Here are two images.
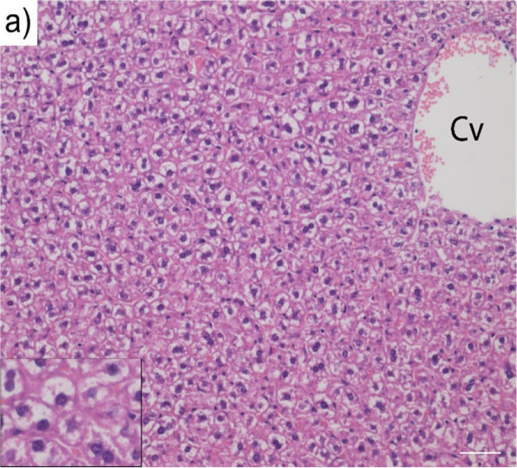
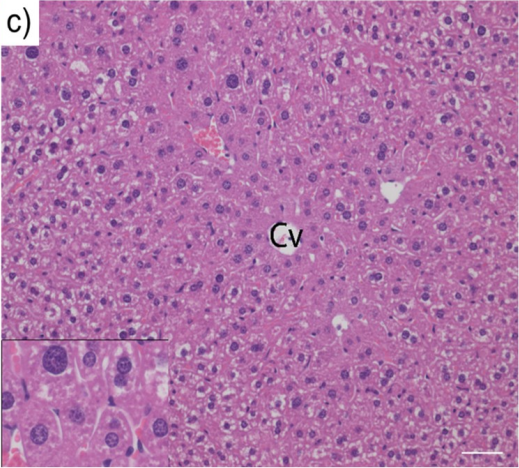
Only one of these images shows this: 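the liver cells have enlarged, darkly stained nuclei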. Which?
the second image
